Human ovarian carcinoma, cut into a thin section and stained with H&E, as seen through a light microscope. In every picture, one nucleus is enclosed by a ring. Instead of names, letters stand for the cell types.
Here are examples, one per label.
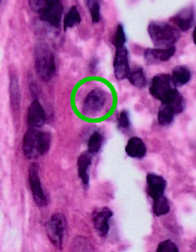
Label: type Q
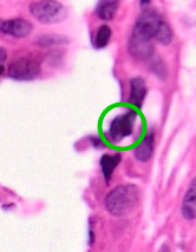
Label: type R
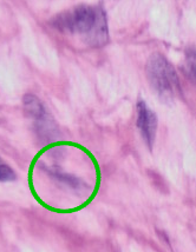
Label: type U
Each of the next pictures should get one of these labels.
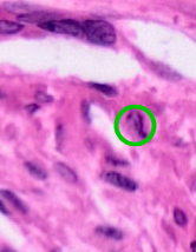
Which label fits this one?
type U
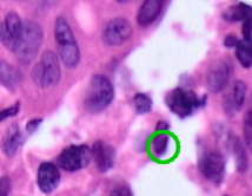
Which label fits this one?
type Q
